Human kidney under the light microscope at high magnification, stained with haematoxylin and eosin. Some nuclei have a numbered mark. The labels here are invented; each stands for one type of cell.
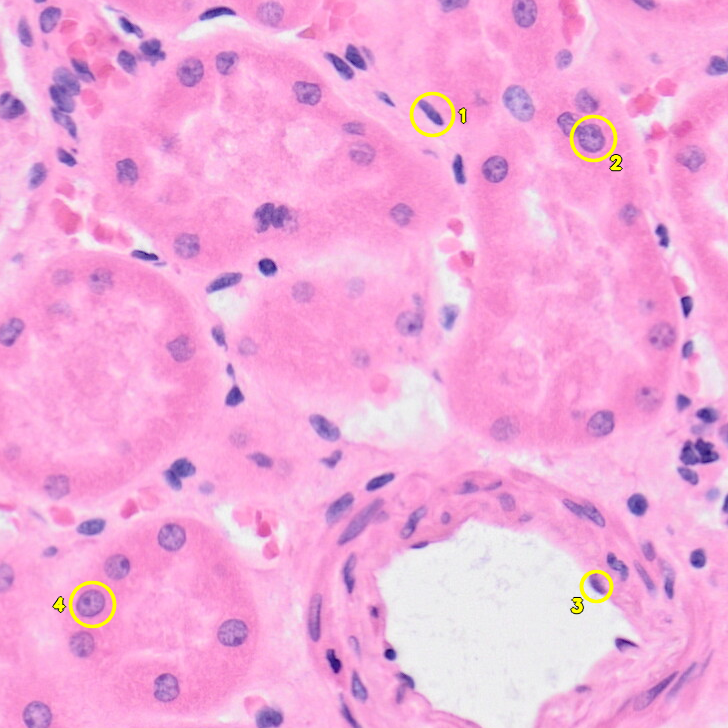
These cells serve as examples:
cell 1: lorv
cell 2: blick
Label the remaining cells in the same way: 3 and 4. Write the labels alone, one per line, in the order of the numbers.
lorv
blick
